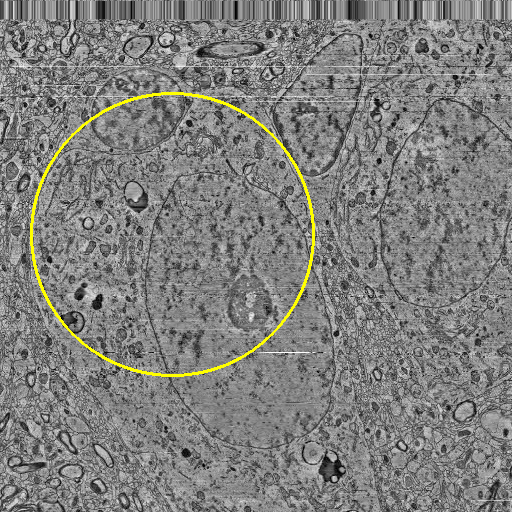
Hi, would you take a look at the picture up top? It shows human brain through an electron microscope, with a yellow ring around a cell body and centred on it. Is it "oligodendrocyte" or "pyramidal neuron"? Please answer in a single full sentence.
The best fit for the cell in the middle of the ring is a pyramidal neuron, I reckon.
